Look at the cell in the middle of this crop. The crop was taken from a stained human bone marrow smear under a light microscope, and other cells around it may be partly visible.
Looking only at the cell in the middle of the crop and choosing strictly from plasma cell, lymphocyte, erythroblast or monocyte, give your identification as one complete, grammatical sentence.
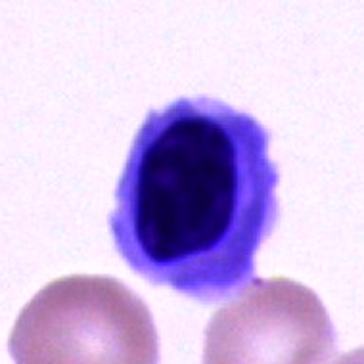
The cell sitting right in the middle is an erythroblast.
